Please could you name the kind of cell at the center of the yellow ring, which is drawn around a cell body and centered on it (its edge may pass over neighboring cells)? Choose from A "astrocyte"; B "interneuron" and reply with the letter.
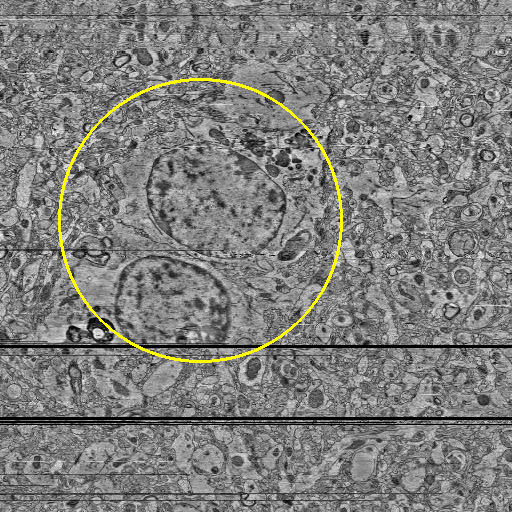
A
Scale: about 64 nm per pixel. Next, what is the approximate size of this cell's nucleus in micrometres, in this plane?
Approximately 9 micrometres long and 7 micrometres wide, in this plane.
